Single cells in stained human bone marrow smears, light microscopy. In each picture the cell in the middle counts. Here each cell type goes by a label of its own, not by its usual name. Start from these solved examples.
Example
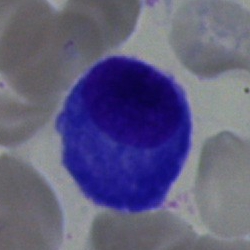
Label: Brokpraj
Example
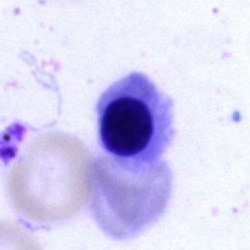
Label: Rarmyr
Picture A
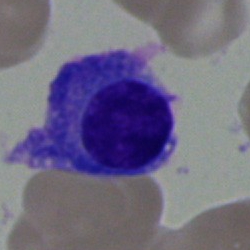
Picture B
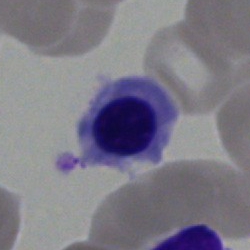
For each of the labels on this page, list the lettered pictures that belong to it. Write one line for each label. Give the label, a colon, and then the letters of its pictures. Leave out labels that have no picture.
Brokpraj: A
Rarmyr: B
